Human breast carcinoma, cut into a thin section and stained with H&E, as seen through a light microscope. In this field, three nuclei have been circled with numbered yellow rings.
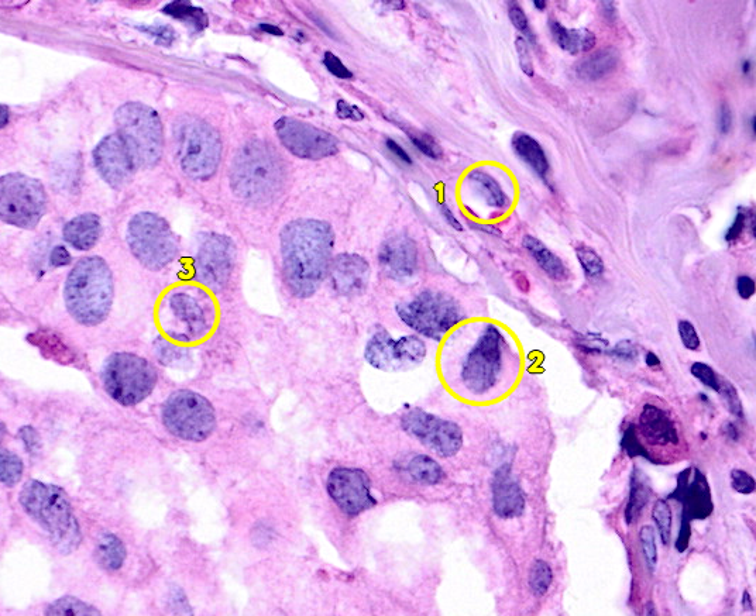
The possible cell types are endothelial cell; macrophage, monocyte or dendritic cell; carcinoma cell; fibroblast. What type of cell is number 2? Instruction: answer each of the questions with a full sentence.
Here the cell numbered 2 is a carcinoma cell.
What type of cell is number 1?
Cell 1 is classified as an endothelial cell.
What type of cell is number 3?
The identity of cell 3 is that of a carcinoma cell.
